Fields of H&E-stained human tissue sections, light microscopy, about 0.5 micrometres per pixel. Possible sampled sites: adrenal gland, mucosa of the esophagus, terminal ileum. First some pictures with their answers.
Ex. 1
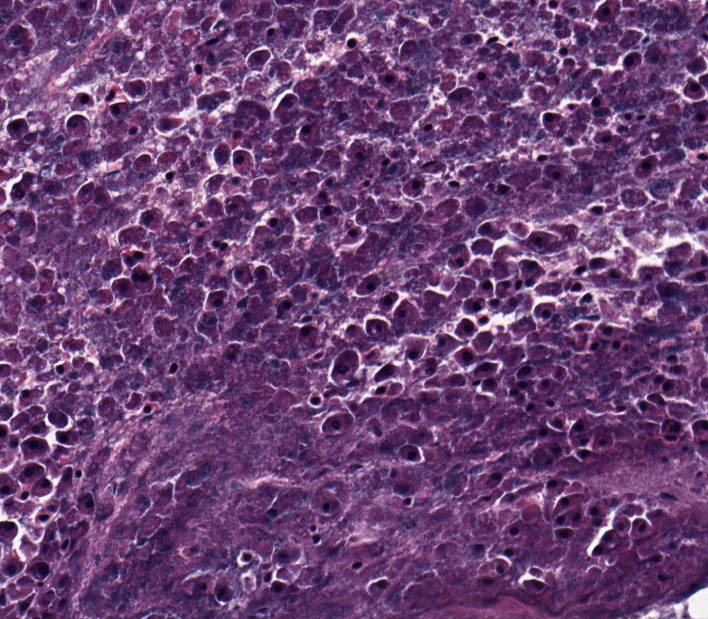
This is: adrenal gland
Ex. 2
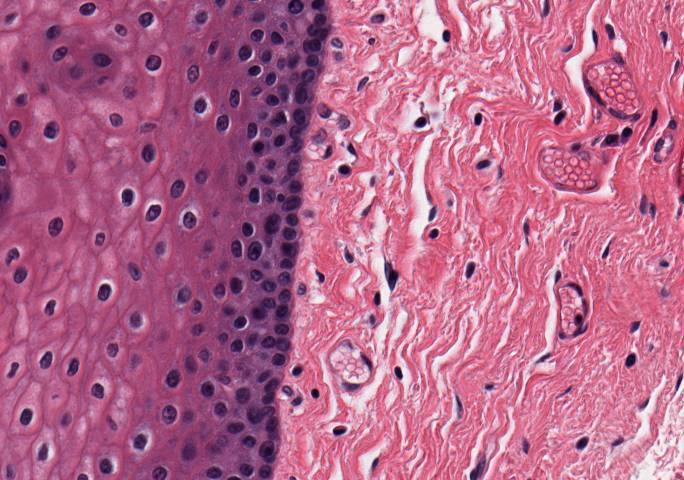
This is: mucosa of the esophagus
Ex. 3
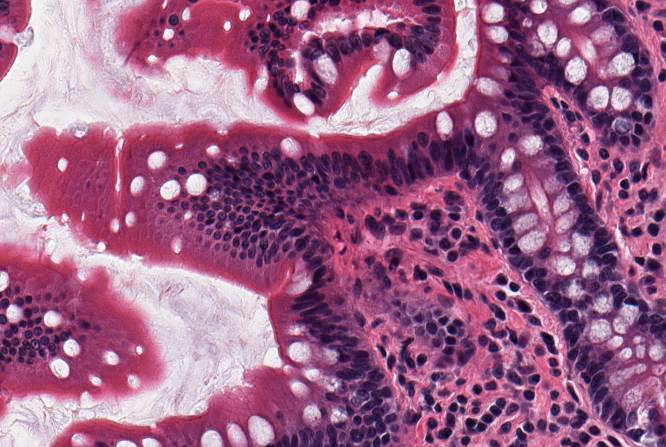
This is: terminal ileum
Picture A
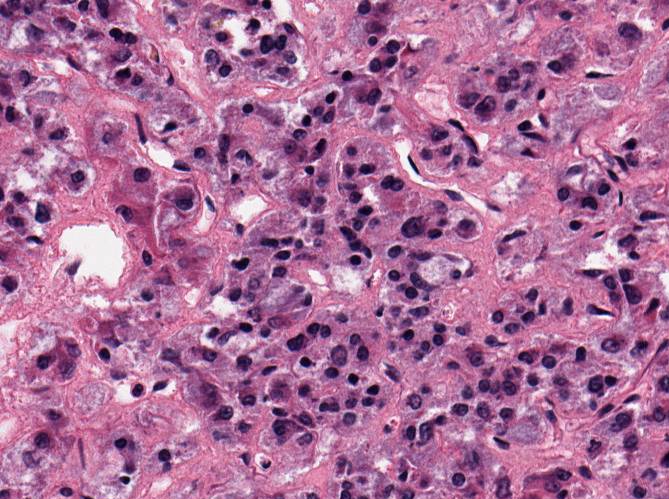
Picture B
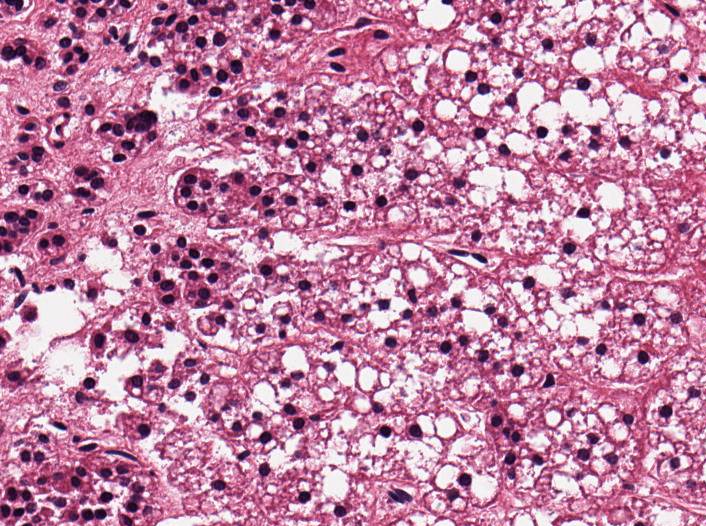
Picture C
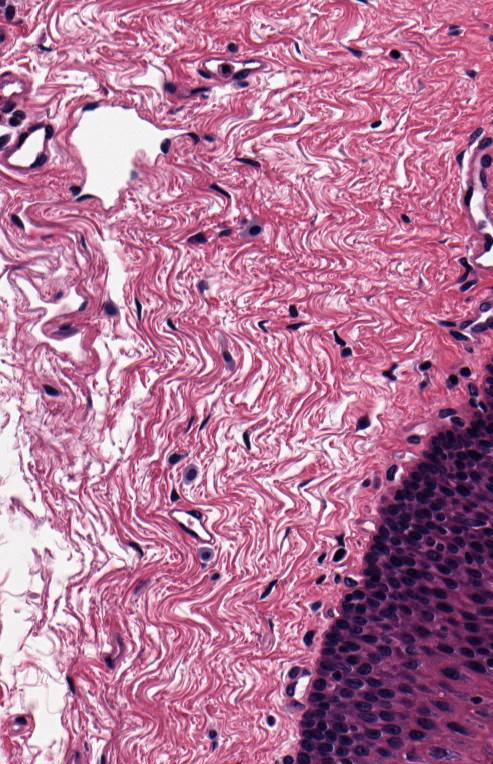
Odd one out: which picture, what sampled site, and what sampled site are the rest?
Exception: C, showing mucosa of the esophagus. Remaining pictures: adrenal gland.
